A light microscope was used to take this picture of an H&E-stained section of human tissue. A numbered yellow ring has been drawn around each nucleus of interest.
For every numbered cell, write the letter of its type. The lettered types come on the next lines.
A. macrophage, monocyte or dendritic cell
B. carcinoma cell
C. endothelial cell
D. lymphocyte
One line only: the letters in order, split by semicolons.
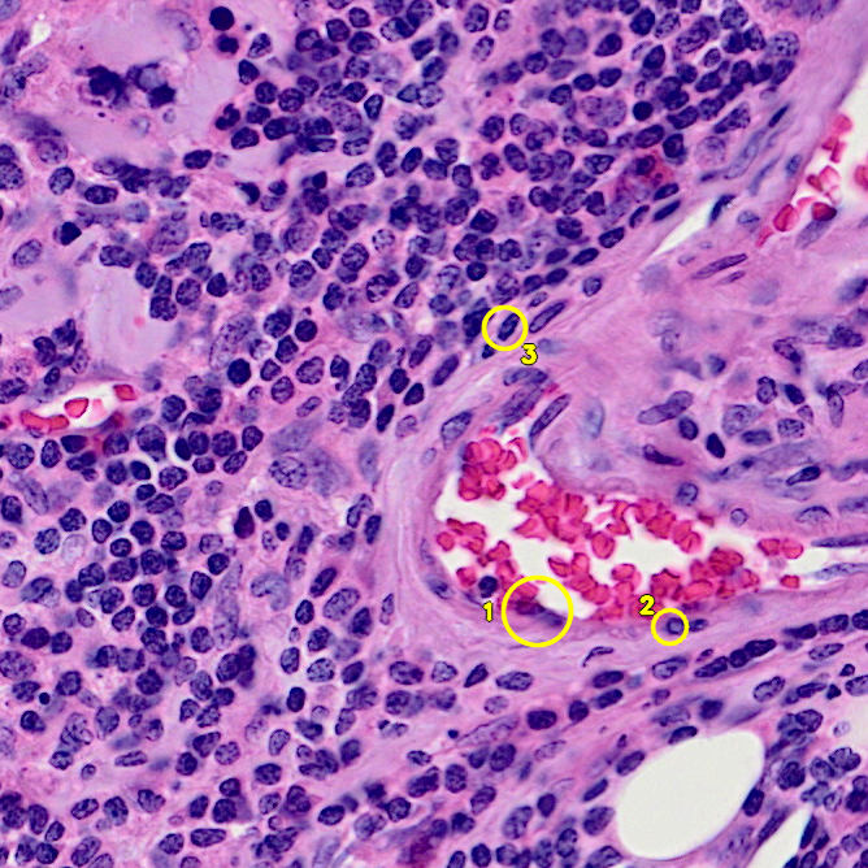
C; C; D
